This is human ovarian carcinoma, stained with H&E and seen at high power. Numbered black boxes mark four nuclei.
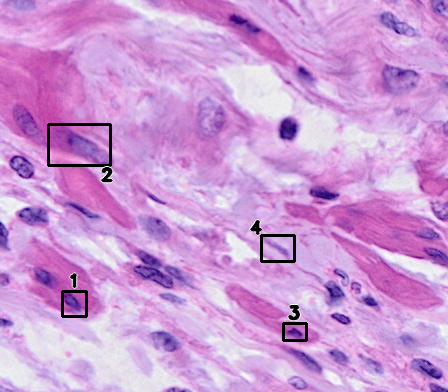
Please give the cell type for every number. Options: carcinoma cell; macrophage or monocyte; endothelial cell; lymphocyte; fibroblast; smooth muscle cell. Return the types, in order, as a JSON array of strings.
["smooth muscle cell", "smooth muscle cell", "smooth muscle cell", "fibroblast"]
